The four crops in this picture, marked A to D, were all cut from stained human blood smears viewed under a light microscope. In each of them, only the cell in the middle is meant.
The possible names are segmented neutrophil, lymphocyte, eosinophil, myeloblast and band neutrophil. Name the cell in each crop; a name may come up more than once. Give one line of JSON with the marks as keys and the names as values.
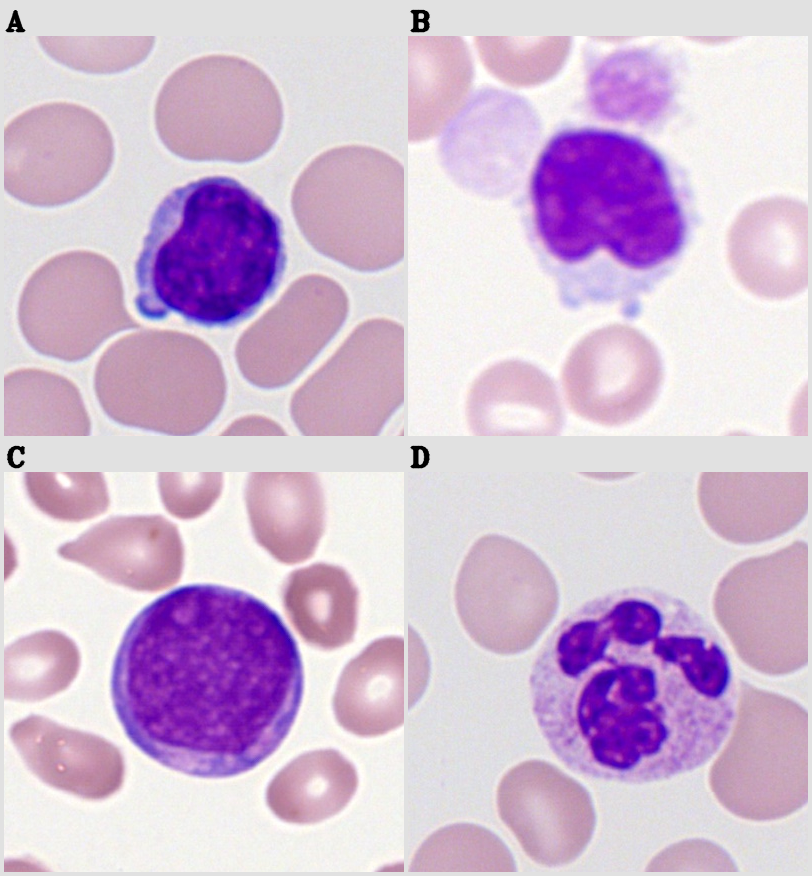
{"A": "lymphocyte", "B": "lymphocyte", "C": "myeloblast", "D": "segmented neutrophil"}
